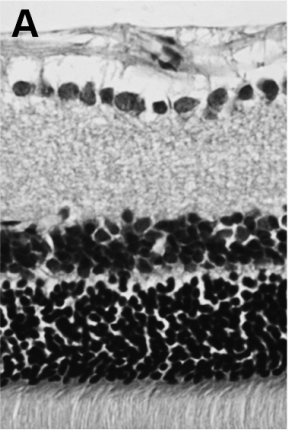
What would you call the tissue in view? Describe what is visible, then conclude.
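Three horizontal bands of dark nuclei are separated by pale fibrillar bands. The top band is a single row of larger rounded cell bodies. The thickest band of densely packed small dark nuclei lies near the bottom. A finely striated pale band runs along the bottom edge.
Answer: retina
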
